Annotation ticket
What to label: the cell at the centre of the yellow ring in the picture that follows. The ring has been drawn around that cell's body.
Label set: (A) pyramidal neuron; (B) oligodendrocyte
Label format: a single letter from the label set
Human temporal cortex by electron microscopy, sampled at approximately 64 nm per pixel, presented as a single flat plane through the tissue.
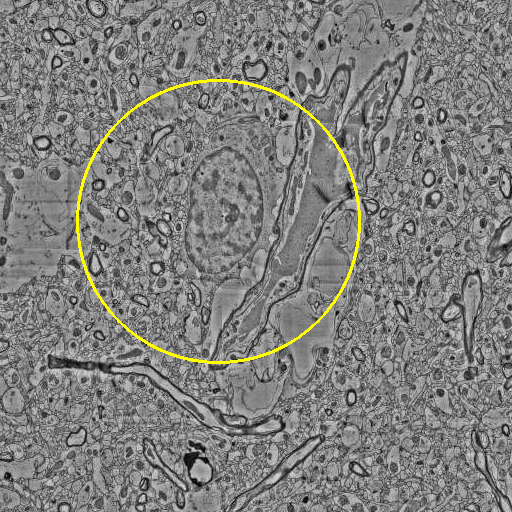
B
